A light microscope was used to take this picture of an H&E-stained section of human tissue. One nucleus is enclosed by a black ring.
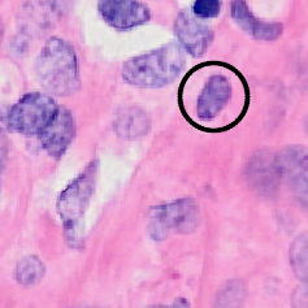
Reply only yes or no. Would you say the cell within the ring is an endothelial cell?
no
